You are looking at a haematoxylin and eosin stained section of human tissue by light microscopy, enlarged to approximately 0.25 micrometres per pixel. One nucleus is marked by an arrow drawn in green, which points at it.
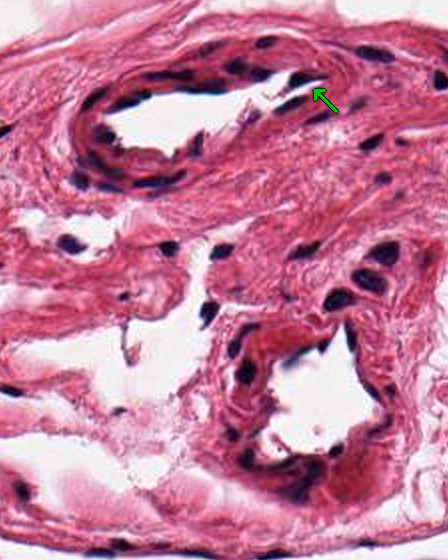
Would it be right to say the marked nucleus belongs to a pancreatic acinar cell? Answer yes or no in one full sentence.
No, the marked nucleus belongs to a supporting cell of connective tissue, a vessel or the immune system, not to a pancreatic acinar cell.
